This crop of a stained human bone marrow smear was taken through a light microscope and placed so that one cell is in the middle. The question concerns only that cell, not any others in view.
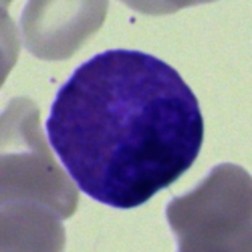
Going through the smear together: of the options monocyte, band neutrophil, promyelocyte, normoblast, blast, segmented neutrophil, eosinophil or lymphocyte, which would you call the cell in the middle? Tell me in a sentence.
In the middle of this smear crop is an eosinophil.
